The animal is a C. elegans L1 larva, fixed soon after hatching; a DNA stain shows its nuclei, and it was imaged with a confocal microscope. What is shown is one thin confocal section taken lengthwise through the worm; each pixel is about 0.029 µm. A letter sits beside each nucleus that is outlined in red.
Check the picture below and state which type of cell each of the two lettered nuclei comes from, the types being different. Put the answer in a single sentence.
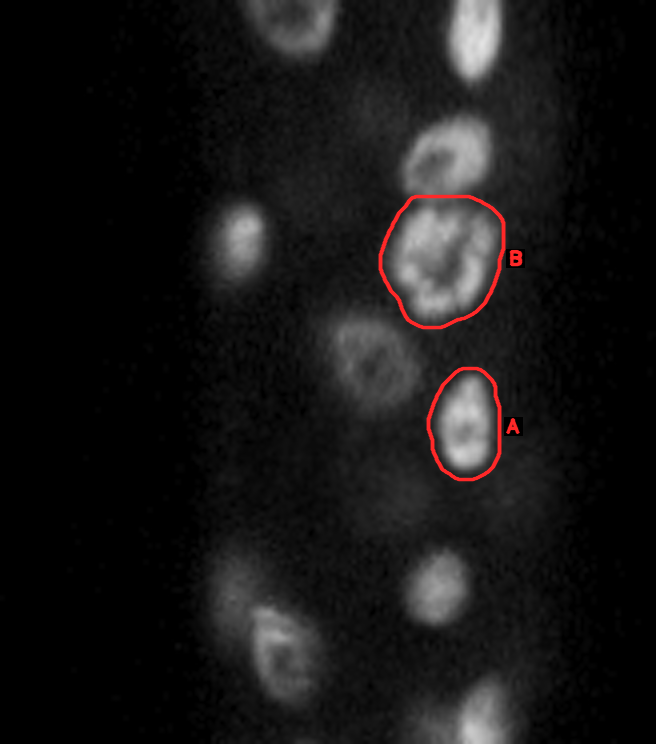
A is the nucleus of a body wall muscle cell; B is the nucleus of a germ line precursor.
